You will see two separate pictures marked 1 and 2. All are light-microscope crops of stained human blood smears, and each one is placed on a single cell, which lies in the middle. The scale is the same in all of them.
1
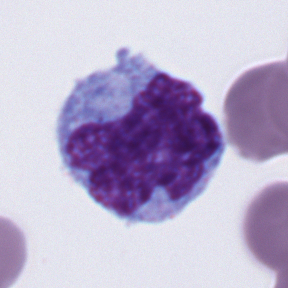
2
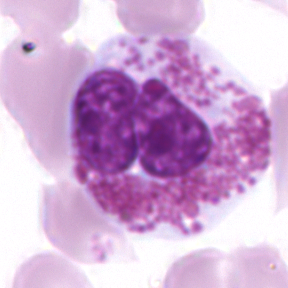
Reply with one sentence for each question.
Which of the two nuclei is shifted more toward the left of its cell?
In crop 2 the nucleus is shifted more toward the left.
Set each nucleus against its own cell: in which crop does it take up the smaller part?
Of the two, the nucleus in crop 2 leaves more room for cytoplasm.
